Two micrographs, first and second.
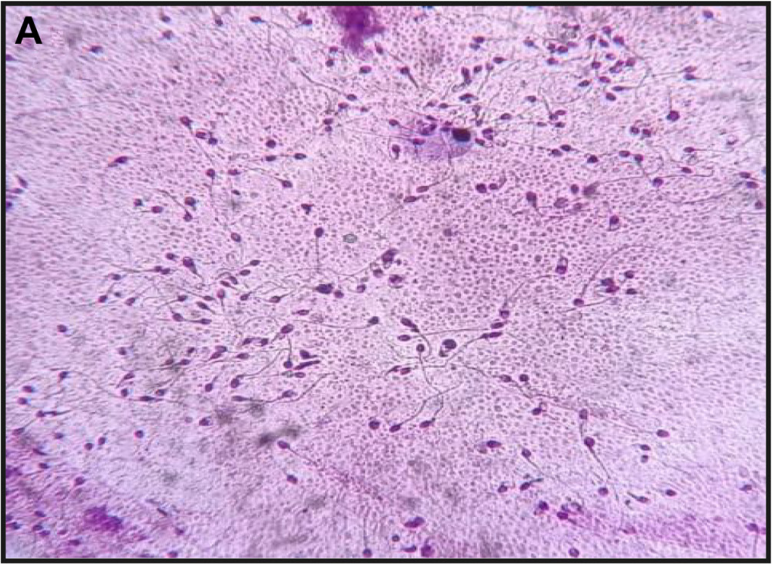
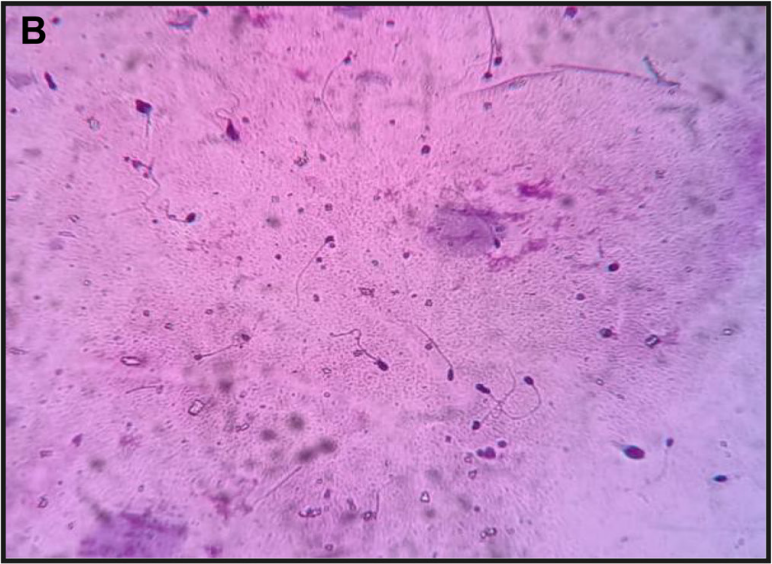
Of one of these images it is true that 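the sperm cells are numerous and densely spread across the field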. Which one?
the first image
